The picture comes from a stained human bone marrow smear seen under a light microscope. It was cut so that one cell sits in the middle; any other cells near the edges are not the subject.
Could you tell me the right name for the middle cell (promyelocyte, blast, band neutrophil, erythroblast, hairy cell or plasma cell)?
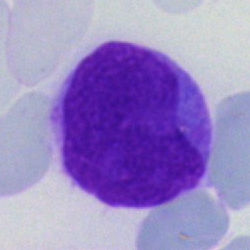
blast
